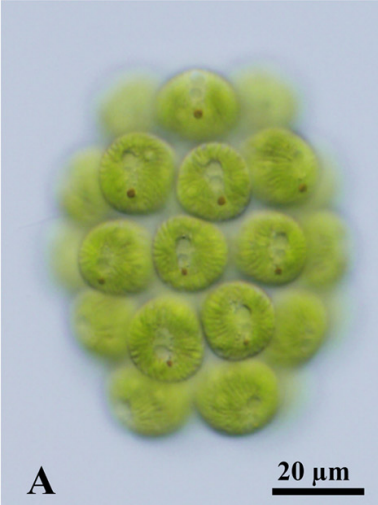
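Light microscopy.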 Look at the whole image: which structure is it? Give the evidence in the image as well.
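Many rounded green cells packed together in an oval group. So: 32-celled colony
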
